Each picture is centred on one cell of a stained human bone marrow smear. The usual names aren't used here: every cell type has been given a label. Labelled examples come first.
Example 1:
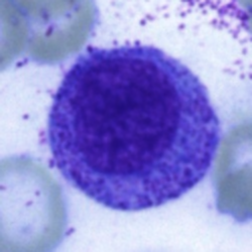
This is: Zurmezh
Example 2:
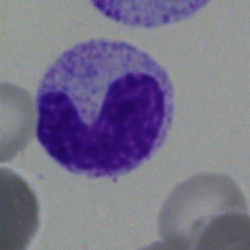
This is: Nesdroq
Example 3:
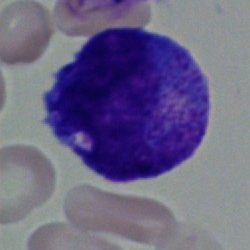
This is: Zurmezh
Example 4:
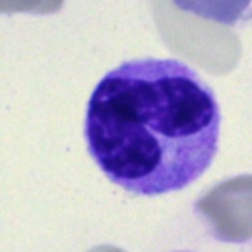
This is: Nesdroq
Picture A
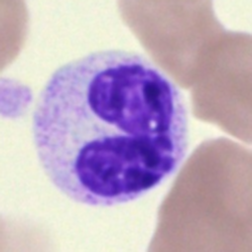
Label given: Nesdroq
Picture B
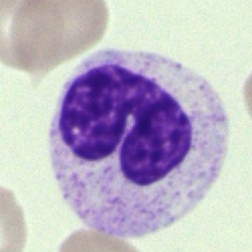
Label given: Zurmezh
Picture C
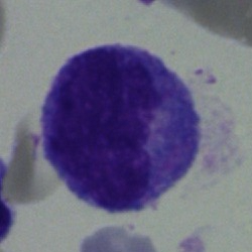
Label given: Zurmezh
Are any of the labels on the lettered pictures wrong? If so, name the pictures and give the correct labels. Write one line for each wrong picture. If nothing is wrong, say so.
B is labelled Zurmezh; correct label: Nesdroq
